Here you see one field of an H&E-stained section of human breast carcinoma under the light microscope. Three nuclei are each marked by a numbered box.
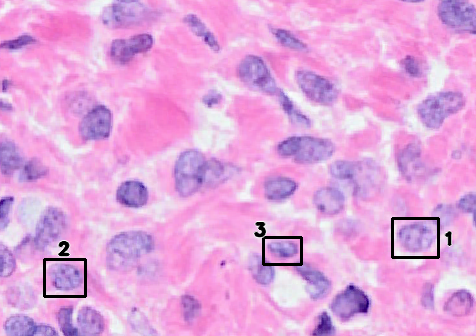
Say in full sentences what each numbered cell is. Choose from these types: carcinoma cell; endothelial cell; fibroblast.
Cell 1 is a carcinoma cell, cell 2 is a carcinoma cell and cell 3 is an endothelial cell.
